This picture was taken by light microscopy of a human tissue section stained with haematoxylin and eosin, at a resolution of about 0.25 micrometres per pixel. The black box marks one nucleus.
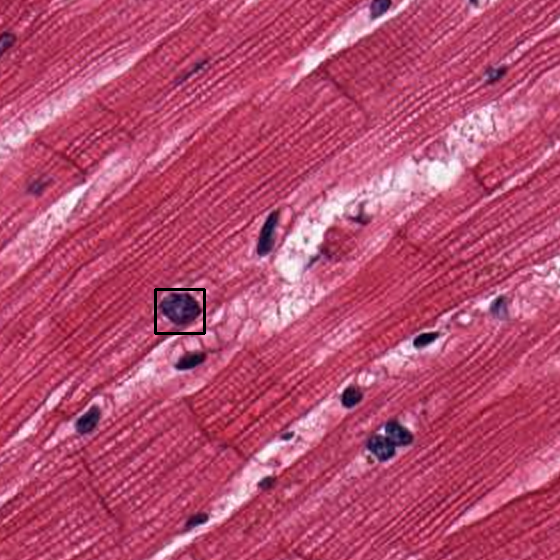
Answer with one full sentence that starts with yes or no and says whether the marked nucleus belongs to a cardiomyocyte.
Yes, what is marked here is the nucleus of a cardiomyocyte.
